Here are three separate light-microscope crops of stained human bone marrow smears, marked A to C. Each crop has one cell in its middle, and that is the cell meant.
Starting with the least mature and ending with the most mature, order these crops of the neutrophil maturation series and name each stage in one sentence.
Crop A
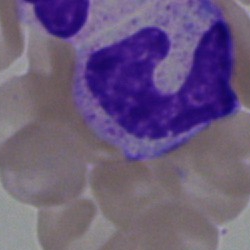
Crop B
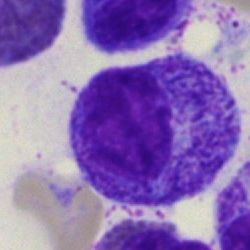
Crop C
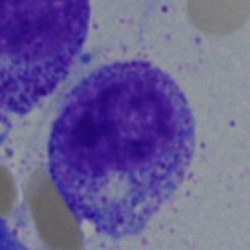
The sequence from earliest to latest maturation stage is crop B (a promyelocyte), crop C (a myelocyte) and crop A (a band neutrophil).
